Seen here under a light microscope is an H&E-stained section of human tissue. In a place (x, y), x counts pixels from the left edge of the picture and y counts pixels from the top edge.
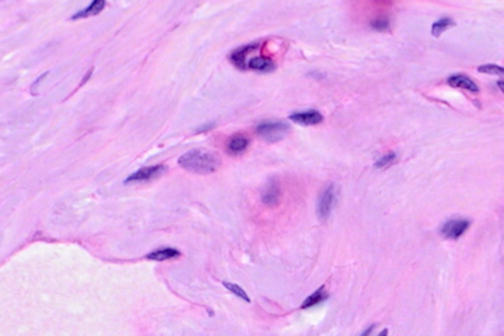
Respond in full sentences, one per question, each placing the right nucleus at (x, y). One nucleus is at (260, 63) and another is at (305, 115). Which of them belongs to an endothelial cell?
Located at (260, 63), this nucleus is the one belonging to an endothelial cell.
